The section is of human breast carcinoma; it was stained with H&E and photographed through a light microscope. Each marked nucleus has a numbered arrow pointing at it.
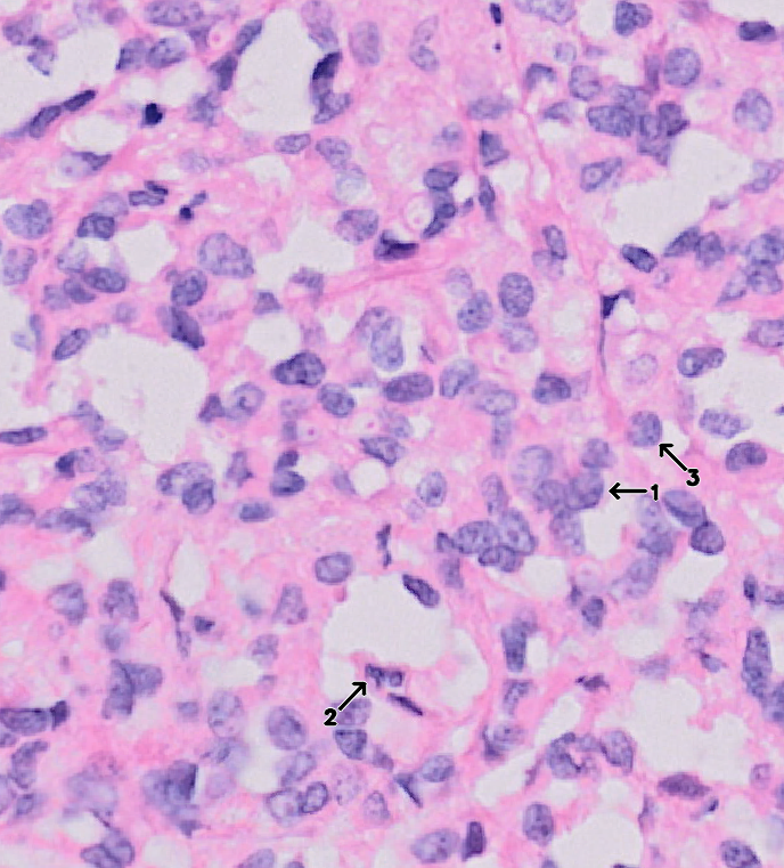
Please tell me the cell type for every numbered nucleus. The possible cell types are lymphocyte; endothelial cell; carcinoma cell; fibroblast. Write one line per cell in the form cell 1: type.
cell 1: carcinoma cell
cell 2: endothelial cell
cell 3: carcinoma cell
